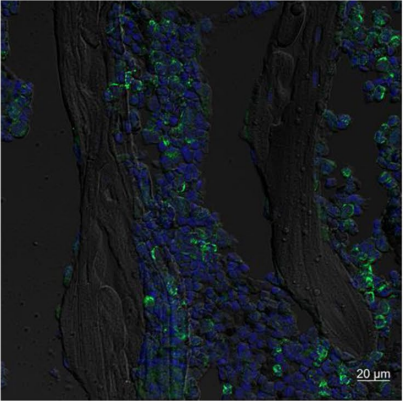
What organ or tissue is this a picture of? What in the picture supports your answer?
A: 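Densely packed small round nucleated cells fill the spaces between elongated smooth grey structures. The grey structures in the transmitted-light view lack nuclei and look like bony trabeculae.
Hence: bone marrow.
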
